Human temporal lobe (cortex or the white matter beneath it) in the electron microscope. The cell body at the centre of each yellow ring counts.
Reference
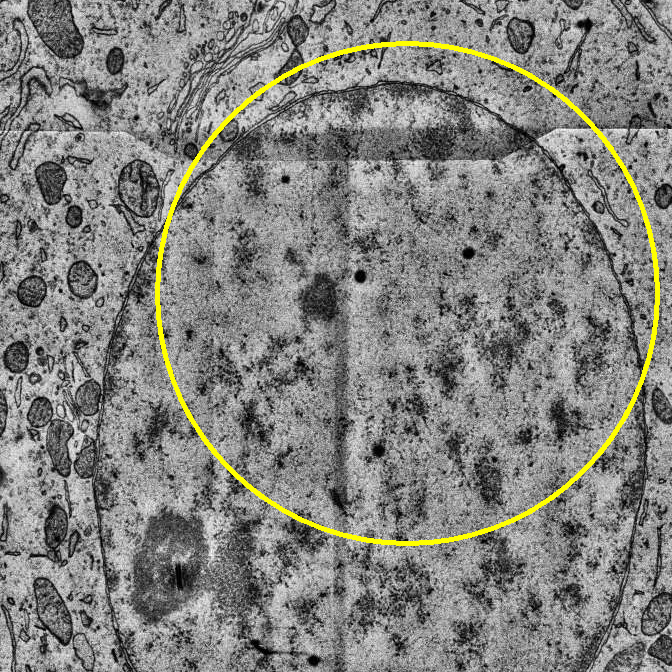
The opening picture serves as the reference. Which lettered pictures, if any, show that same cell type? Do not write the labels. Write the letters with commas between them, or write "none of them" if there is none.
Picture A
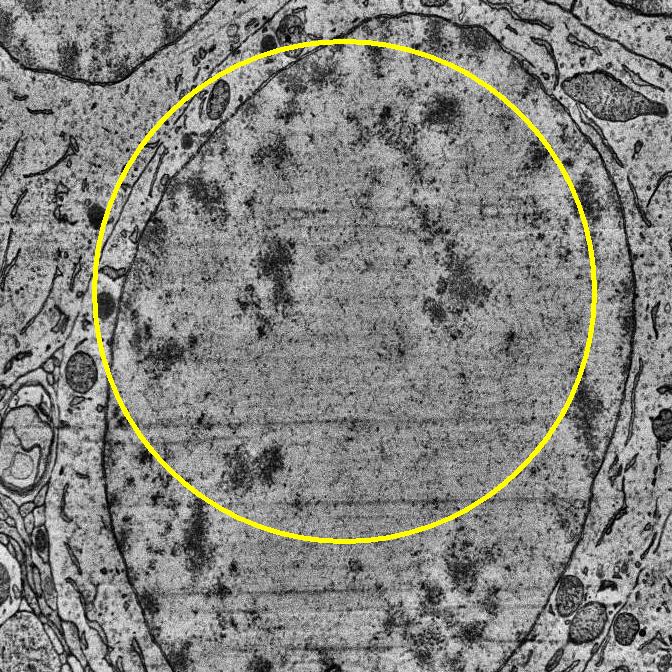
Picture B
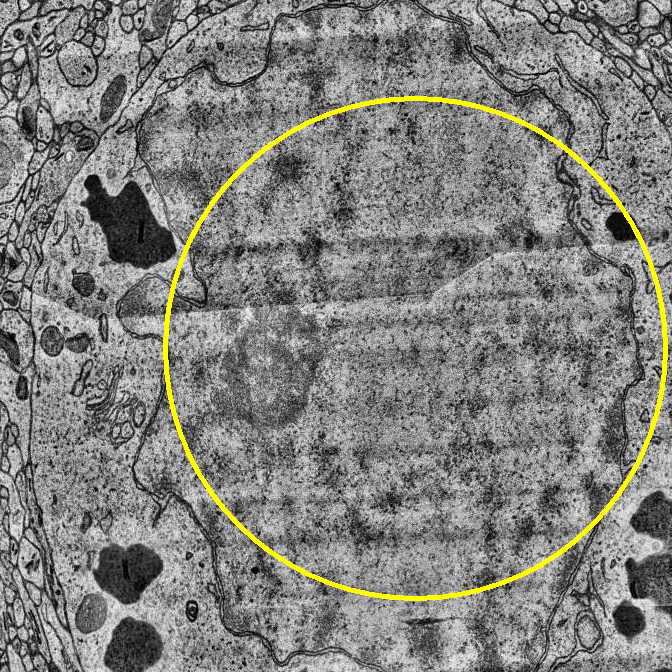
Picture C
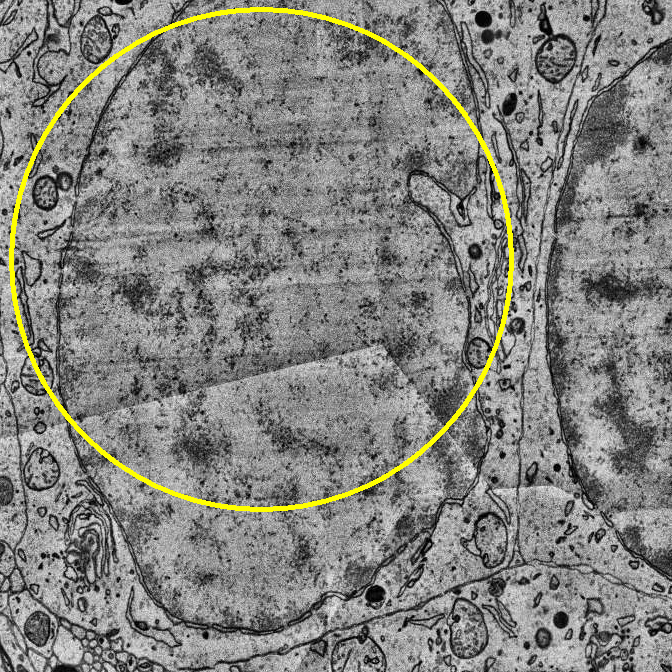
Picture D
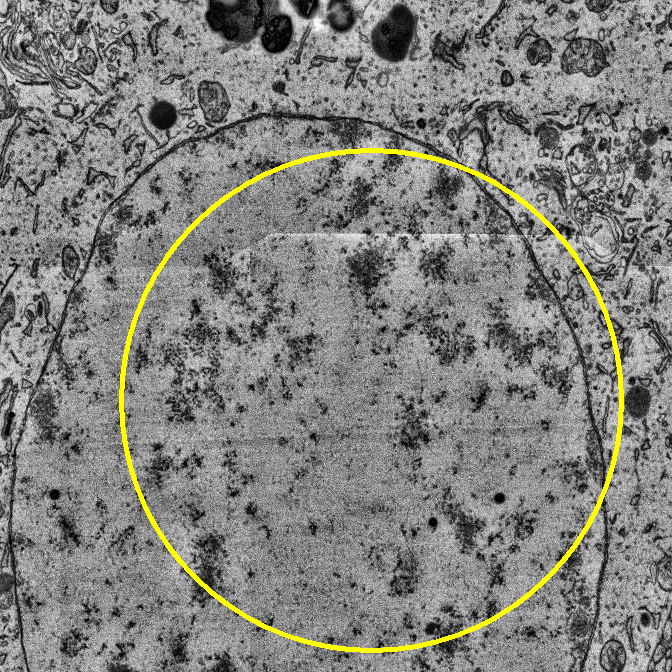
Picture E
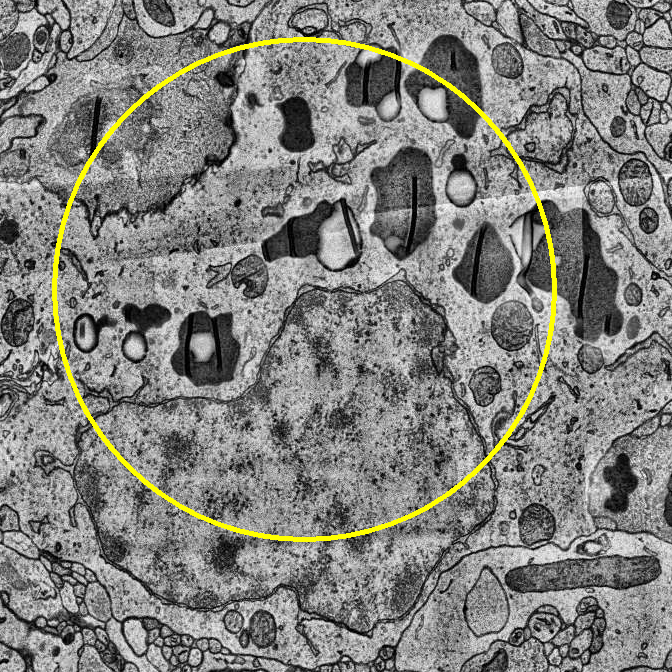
B, E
